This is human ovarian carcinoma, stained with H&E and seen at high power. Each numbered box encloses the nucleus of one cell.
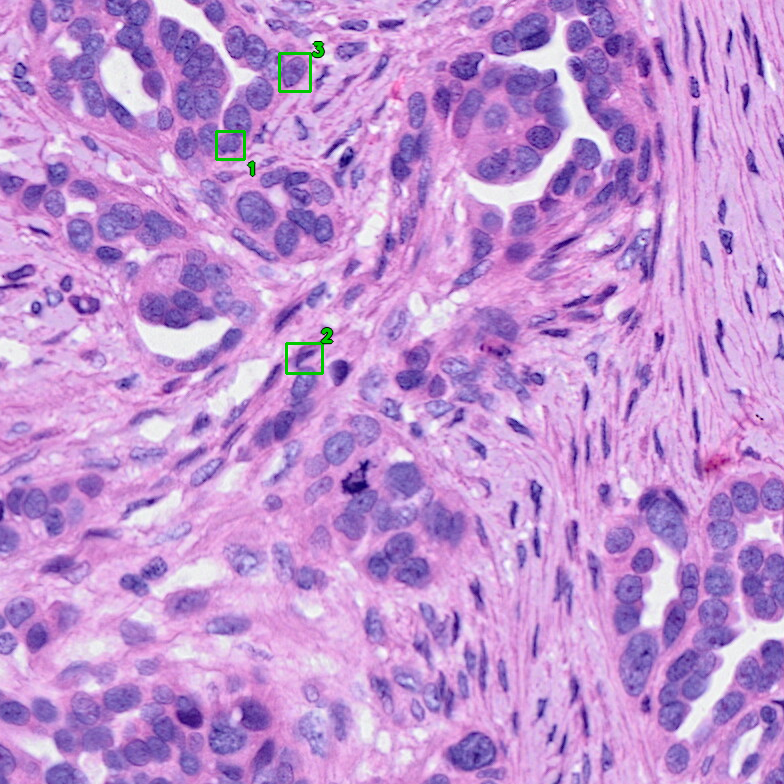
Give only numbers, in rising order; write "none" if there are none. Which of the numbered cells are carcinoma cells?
1, 3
